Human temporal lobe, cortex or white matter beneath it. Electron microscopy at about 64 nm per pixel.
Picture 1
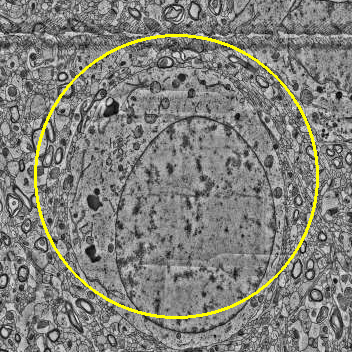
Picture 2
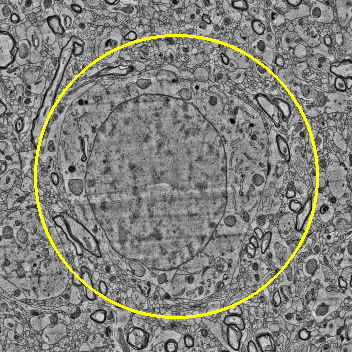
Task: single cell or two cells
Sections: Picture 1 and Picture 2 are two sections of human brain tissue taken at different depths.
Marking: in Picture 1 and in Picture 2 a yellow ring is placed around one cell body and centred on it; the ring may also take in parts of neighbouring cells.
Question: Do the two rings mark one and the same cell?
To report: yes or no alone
no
